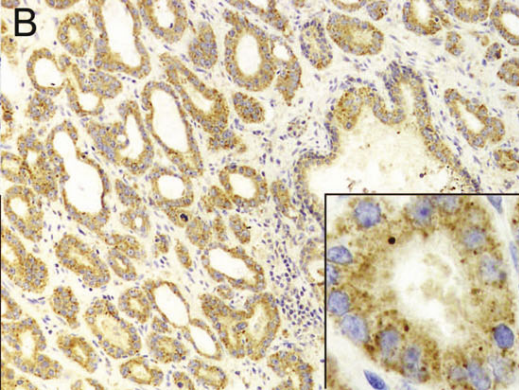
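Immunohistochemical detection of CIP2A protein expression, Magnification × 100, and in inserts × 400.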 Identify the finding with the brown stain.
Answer: Coarsely granular cytoplasmic positivity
